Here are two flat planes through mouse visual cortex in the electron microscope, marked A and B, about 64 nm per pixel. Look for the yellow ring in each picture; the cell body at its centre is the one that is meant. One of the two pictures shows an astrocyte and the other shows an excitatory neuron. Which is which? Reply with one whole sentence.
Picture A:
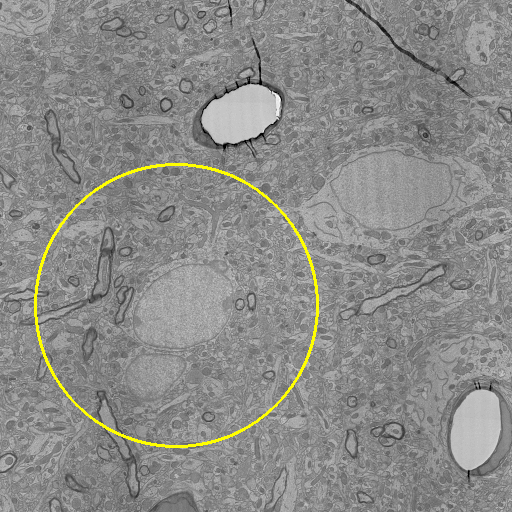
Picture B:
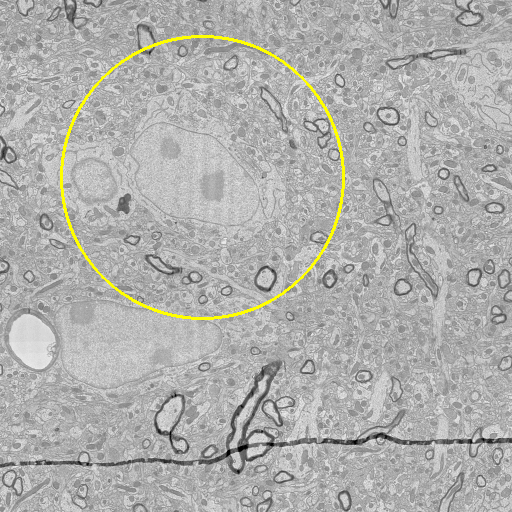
Picture A shows an astrocyte and picture B shows an excitatory neuron.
